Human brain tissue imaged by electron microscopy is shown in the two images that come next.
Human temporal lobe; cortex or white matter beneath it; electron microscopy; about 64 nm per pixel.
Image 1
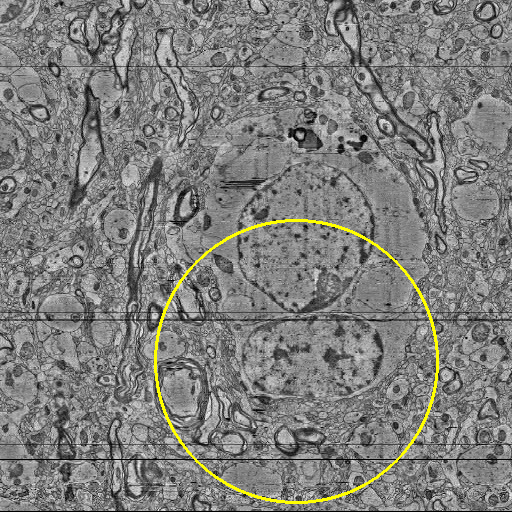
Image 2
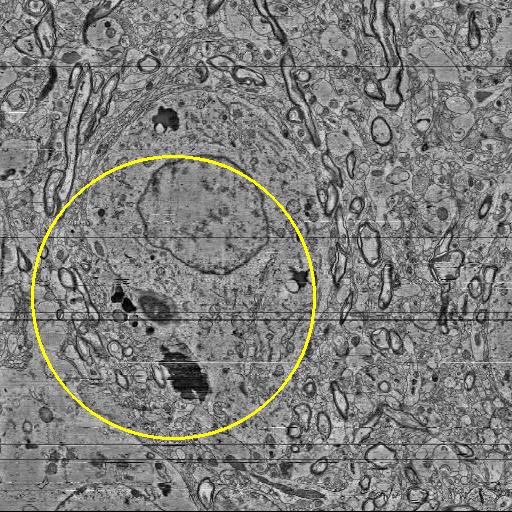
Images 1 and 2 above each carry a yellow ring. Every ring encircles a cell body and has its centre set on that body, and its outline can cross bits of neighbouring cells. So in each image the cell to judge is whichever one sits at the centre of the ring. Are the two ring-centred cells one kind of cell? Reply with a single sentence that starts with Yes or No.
Yes, in Image 1 and Image 2 the cells at the centres of their rings fall into one type.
